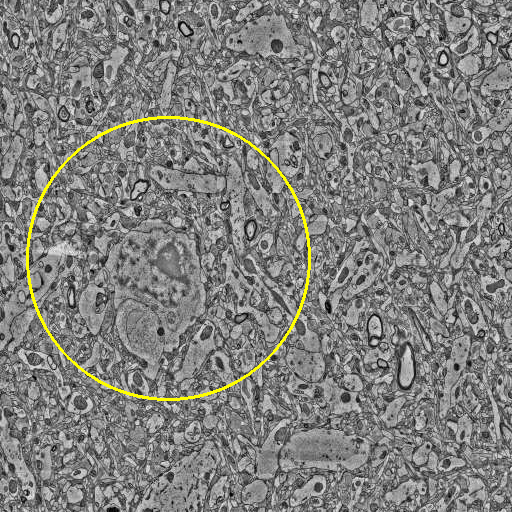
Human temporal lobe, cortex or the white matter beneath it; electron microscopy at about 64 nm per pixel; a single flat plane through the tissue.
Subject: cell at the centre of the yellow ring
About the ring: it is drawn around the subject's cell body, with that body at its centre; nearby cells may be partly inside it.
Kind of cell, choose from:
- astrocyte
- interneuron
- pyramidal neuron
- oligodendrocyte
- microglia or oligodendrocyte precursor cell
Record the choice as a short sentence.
The subject cell is an interneuron.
